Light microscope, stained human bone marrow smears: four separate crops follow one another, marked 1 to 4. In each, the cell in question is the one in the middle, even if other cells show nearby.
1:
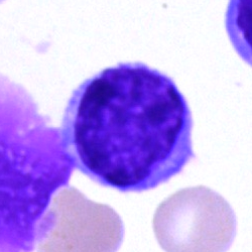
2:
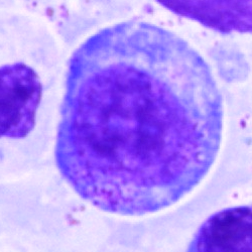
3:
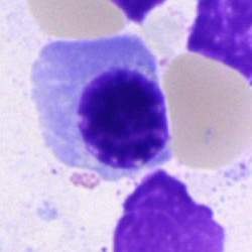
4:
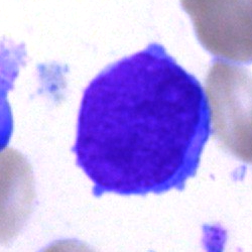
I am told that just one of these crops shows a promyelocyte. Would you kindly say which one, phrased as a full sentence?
Crop 2 shows a promyelocyte, and no other crop does.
